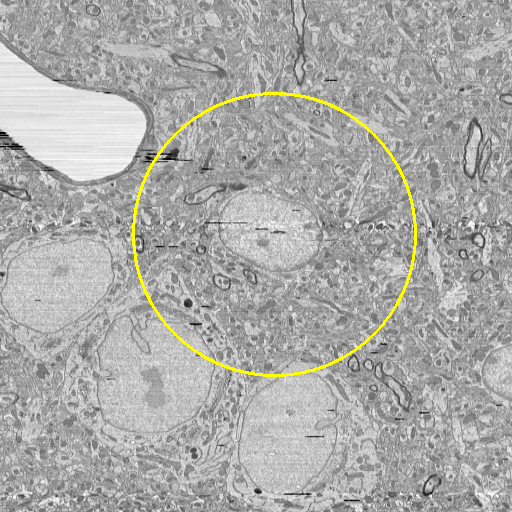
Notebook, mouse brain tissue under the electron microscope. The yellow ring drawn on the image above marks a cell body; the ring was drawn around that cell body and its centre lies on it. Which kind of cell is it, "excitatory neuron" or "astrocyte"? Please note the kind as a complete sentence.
The marked cell body is that of an astrocyte.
